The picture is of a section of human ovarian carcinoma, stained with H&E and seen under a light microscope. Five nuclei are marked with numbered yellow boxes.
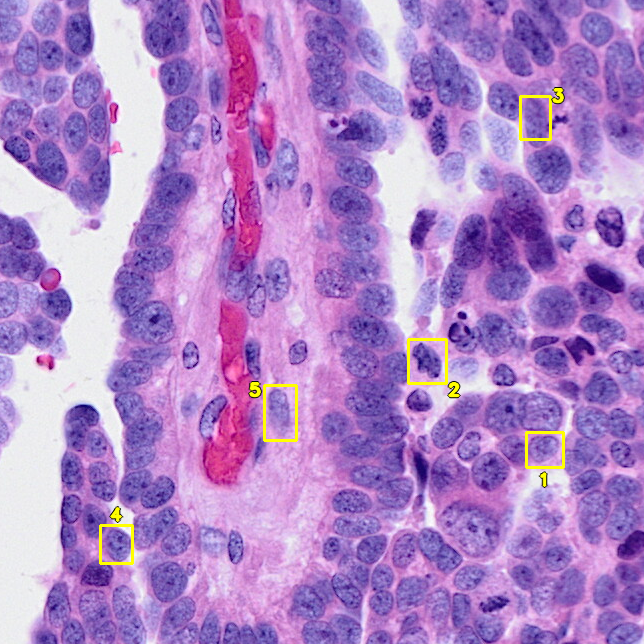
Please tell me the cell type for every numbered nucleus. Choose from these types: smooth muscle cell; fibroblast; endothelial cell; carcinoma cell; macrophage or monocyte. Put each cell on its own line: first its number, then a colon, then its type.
1: carcinoma cell
2: macrophage or monocyte
3: carcinoma cell
4: carcinoma cell
5: fibroblast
